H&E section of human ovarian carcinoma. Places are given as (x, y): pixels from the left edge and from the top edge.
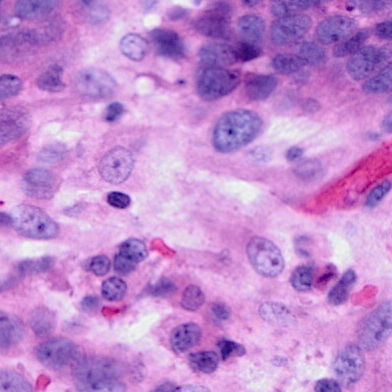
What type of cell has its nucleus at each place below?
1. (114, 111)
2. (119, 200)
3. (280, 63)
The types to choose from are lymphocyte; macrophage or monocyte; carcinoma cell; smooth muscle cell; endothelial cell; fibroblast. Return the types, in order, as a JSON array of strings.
["lymphocyte", "lymphocyte", "carcinoma cell"]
